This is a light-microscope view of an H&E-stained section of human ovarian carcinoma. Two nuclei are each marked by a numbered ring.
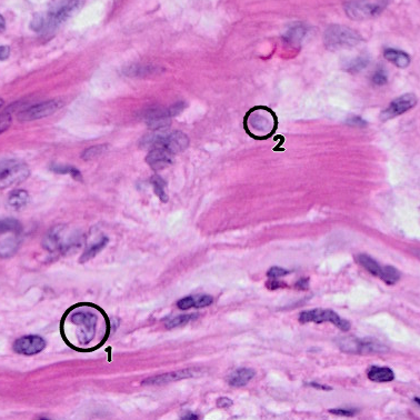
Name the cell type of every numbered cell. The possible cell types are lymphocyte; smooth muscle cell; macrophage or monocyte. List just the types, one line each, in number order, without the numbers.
macrophage or monocyte
smooth muscle cell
